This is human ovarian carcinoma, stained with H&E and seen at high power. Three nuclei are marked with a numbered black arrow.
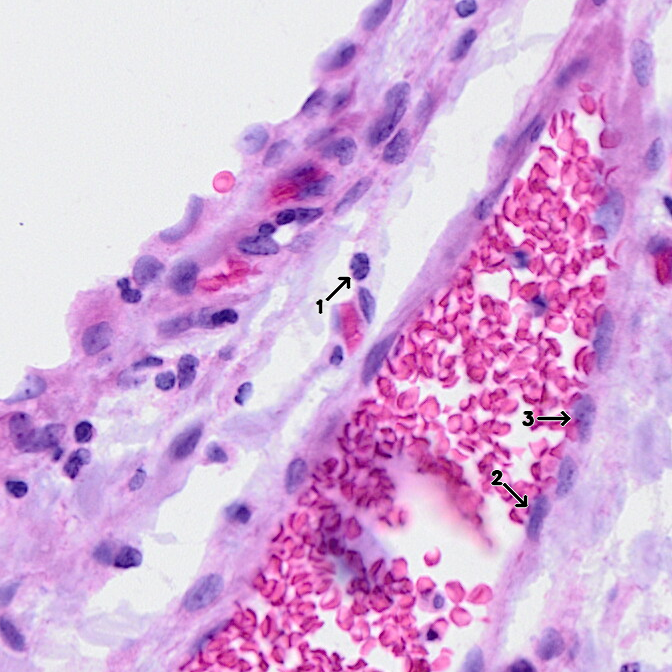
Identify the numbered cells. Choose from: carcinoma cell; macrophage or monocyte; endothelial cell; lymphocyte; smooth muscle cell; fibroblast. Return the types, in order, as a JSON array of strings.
["lymphocyte", "endothelial cell", "endothelial cell"]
